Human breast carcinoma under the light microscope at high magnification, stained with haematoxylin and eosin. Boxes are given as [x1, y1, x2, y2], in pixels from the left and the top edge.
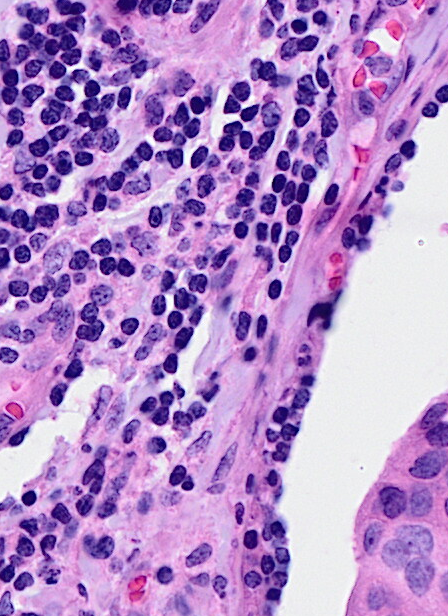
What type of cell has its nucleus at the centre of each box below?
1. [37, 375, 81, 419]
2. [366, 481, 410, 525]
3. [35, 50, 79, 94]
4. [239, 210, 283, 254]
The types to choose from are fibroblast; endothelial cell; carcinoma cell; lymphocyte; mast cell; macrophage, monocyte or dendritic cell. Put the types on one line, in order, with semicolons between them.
lymphocyte; carcinoma cell; lymphocyte; lymphocyte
